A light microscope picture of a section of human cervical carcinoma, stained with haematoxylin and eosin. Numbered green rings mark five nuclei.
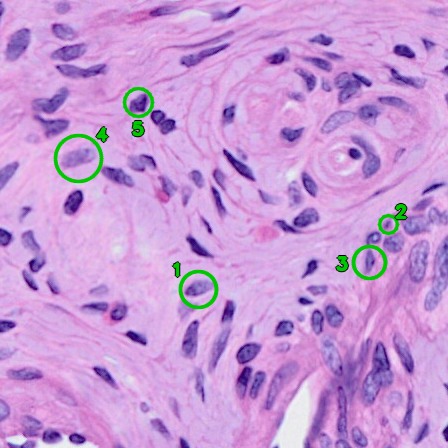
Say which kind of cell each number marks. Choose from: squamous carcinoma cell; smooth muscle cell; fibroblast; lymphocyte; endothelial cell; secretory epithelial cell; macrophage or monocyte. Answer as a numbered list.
1. fibroblast
2. smooth muscle cell
3. smooth muscle cell
4. fibroblast
5. fibroblast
